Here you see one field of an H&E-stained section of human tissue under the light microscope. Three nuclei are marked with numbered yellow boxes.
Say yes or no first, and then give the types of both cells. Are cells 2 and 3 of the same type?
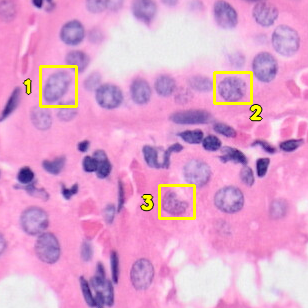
No, cell 2 is to be identified as a collecting duct cell and cell 3 as a proximal tubule cell.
